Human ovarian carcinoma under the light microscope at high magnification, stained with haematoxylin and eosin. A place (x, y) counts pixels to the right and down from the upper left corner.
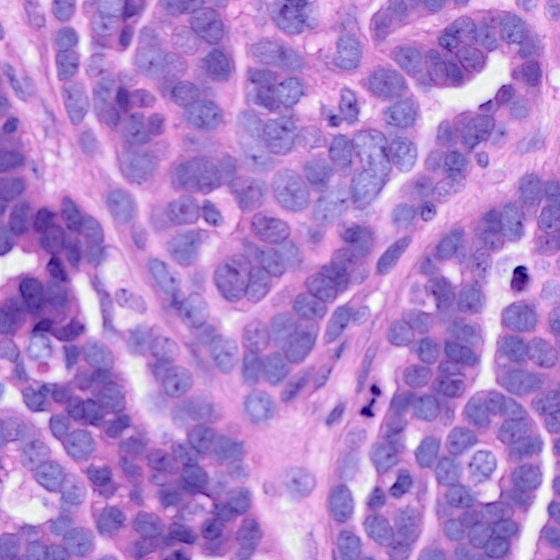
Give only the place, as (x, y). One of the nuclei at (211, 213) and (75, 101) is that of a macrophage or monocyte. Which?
(211, 213)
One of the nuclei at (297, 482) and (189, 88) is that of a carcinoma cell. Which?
(189, 88)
